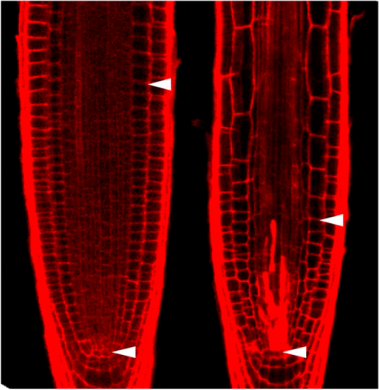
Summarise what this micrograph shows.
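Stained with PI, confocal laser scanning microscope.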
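Two root tips with their cell walls outlined in red show parallel files of cells running from the tip upward, the cells short and boxlike near the tip and longer further up. In the right root the region of short cells is much shorter, with cells lengthening close to the tip, and several cells in the central files near the tip are filled with bright red.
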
